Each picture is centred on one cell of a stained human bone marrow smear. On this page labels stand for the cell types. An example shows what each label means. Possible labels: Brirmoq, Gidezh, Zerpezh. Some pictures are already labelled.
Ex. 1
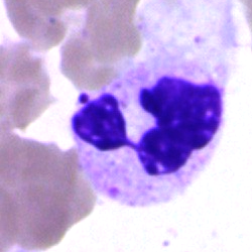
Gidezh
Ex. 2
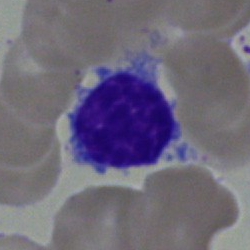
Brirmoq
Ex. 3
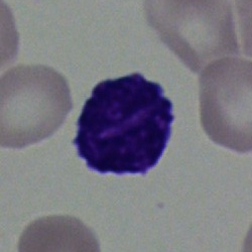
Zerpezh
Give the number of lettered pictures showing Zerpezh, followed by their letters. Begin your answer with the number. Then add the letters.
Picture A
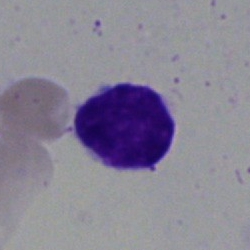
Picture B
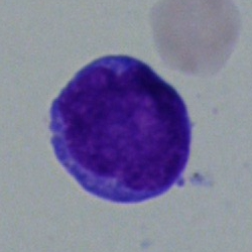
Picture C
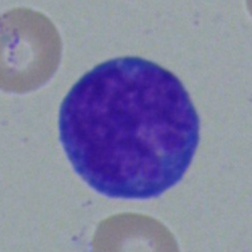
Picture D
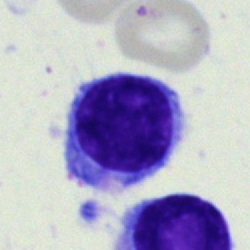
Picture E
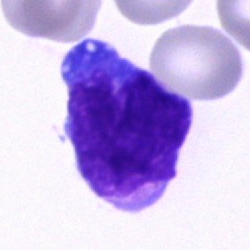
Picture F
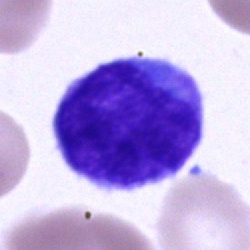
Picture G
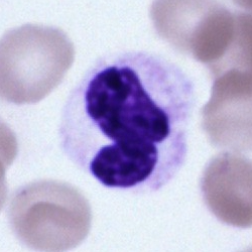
4: B, C, E, F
